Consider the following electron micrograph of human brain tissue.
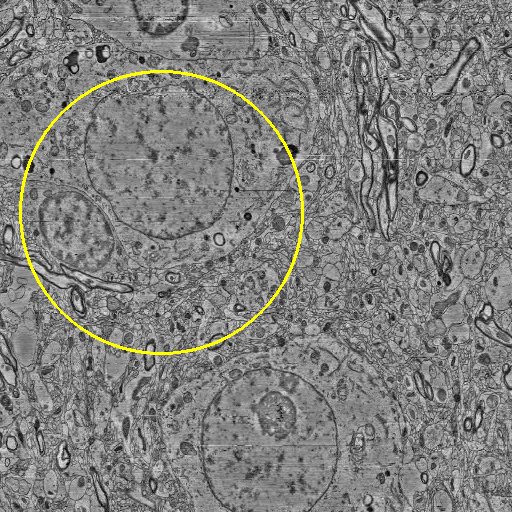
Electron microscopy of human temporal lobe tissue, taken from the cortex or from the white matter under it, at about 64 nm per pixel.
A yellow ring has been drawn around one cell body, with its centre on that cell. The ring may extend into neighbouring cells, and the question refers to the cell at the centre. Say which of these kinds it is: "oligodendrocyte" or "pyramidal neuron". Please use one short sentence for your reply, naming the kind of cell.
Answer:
The centre of the ring falls on a pyramidal neuron.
